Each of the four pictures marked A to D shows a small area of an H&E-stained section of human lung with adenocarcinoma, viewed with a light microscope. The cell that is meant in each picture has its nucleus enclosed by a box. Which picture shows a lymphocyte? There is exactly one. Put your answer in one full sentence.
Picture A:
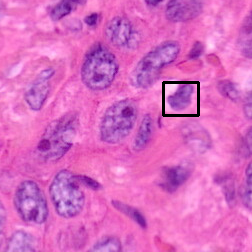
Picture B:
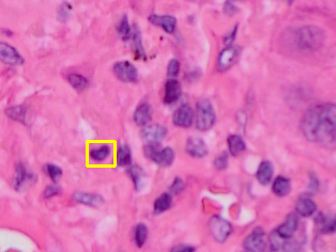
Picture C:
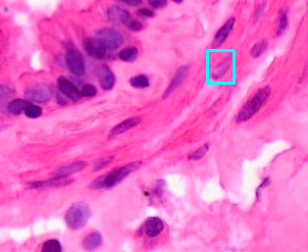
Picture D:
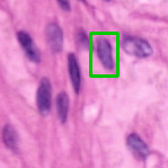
Picture A is the one that shows the lymphocyte.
